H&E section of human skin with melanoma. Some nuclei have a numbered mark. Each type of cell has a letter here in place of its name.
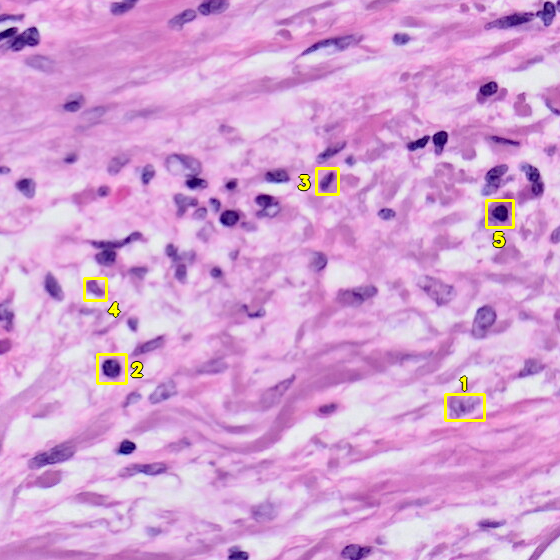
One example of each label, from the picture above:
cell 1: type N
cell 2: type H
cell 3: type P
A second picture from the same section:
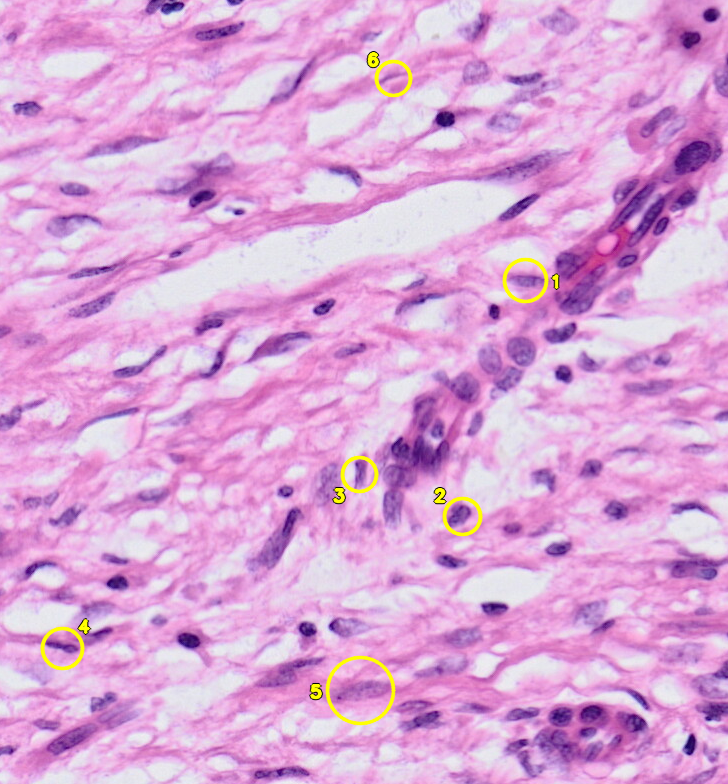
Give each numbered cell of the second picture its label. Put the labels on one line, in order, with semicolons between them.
type P; type P; type N; type N; type N; type N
